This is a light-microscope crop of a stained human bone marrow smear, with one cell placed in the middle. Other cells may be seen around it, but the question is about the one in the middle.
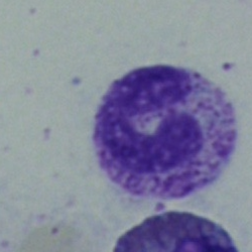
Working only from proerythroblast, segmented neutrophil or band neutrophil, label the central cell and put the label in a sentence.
The cell in the middle of the field of view is a band neutrophil.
